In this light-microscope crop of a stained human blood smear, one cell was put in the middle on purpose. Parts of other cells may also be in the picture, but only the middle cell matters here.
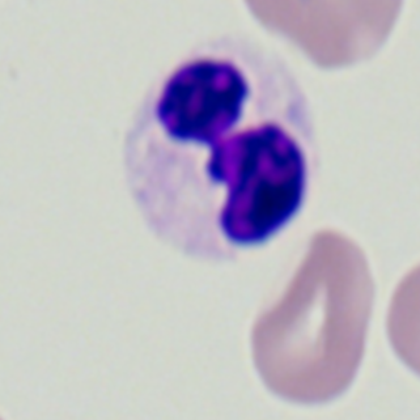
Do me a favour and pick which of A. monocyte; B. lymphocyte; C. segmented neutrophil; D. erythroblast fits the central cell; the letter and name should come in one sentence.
The one cell at the centre is a segmented neutrophil, as correctly stated in option C.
